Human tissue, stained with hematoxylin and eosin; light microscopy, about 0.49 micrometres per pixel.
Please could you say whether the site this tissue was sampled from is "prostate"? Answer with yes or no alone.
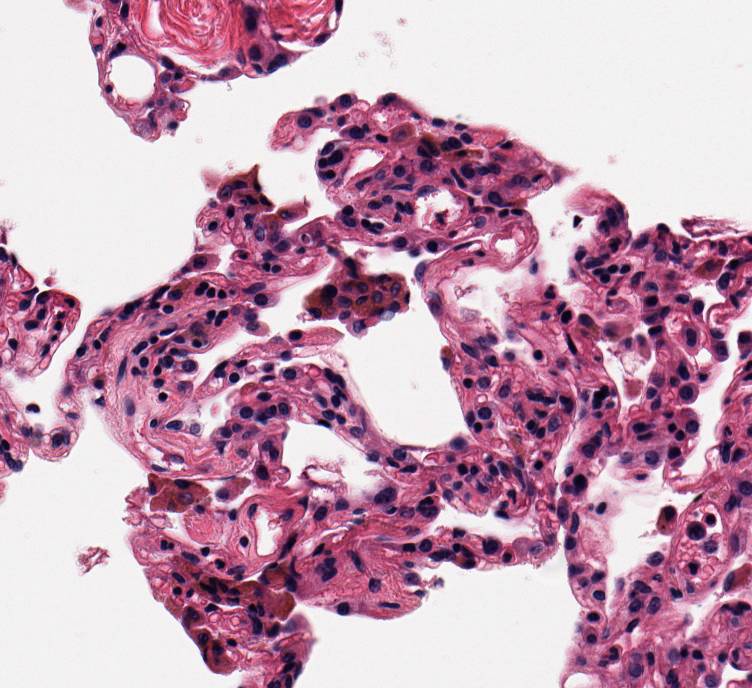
no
